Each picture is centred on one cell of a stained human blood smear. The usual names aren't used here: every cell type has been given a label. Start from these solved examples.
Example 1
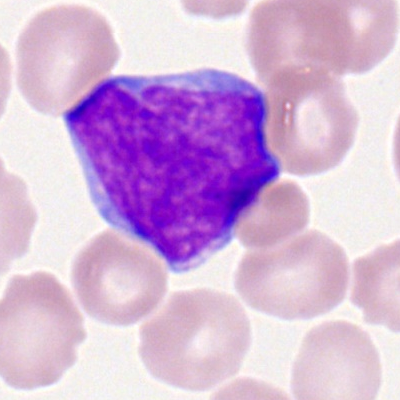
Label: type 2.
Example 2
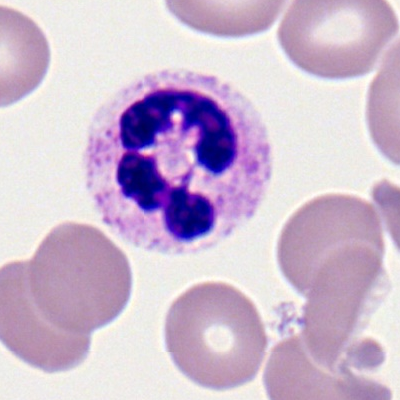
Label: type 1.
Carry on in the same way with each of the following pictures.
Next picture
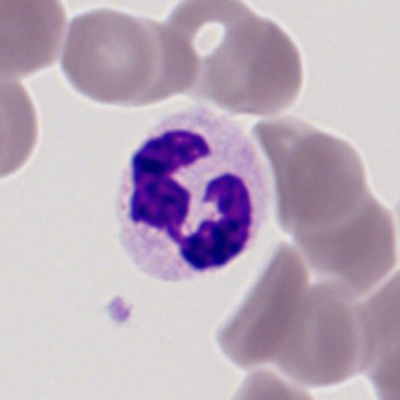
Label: type 1.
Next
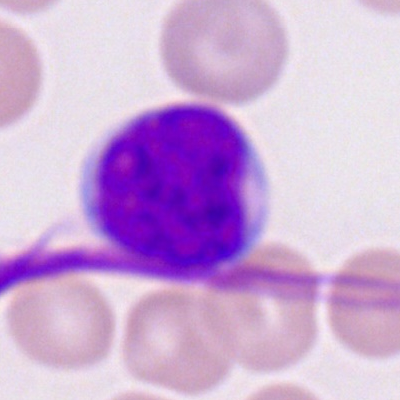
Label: type 2.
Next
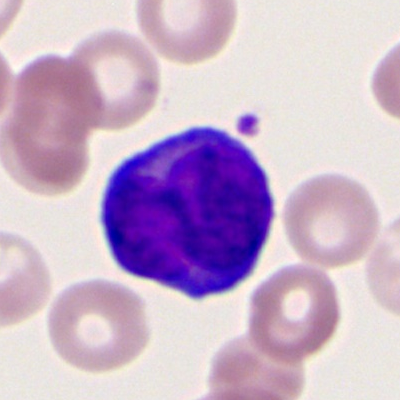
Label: type 2.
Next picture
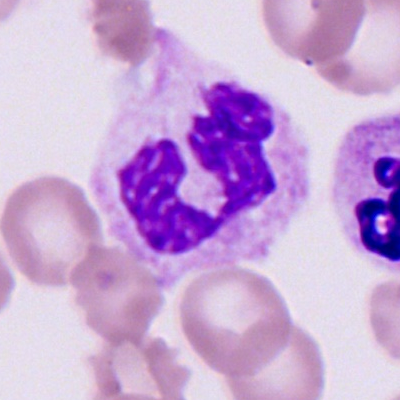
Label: type 1.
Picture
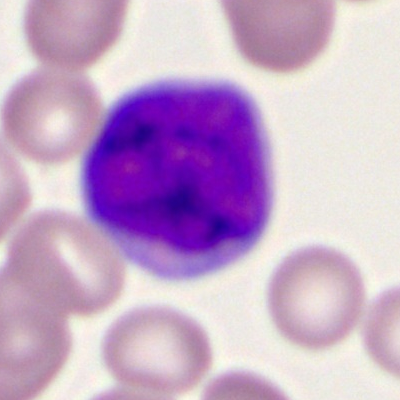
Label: type 2.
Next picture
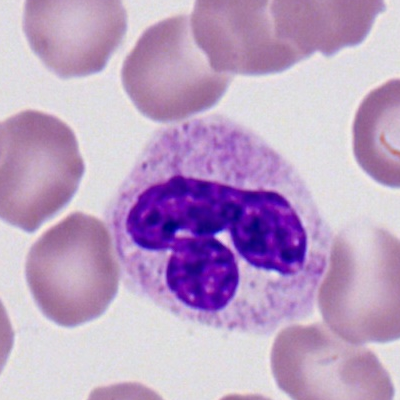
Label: type 1.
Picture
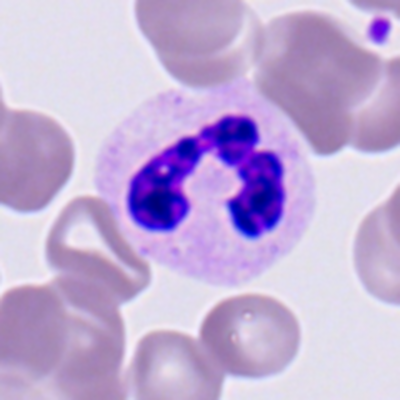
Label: type 1.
